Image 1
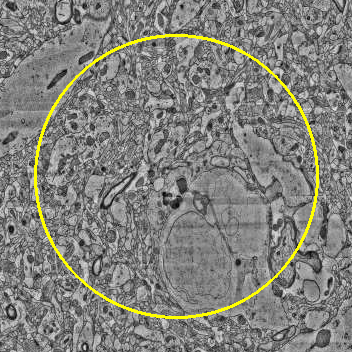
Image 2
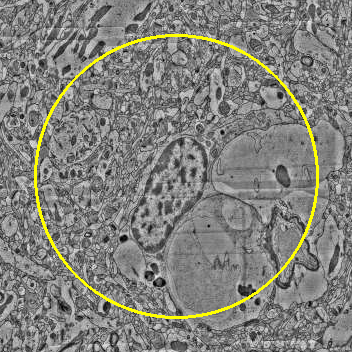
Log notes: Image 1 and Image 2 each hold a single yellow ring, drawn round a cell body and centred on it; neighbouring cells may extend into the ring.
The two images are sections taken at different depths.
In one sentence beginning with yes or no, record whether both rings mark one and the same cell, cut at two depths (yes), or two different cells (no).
Yes, the two marked outlines come from one and the same cell.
